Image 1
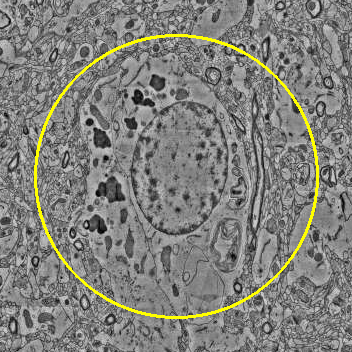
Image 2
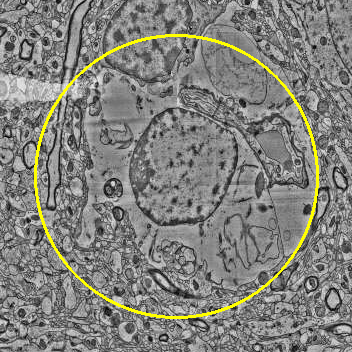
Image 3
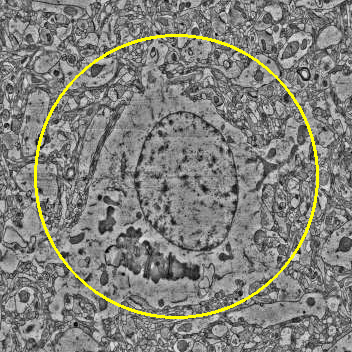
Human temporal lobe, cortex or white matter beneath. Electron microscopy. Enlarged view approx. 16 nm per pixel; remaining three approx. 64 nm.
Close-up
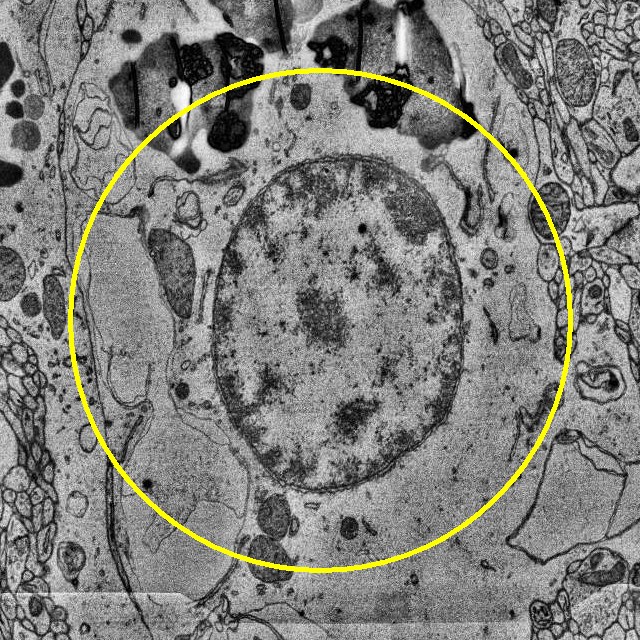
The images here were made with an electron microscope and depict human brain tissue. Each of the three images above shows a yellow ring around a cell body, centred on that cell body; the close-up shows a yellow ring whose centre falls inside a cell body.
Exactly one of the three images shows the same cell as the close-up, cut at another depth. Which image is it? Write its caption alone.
Image 1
